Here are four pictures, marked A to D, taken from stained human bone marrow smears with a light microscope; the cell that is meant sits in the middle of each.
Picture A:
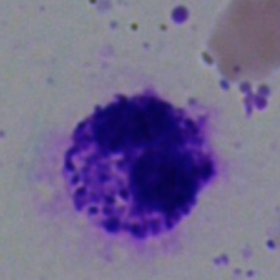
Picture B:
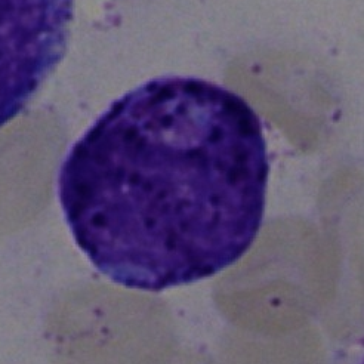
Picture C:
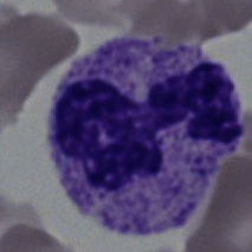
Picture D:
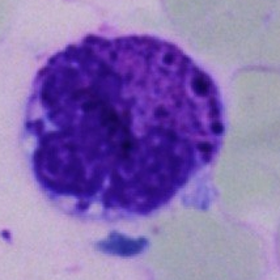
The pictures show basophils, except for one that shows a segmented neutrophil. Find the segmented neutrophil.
C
